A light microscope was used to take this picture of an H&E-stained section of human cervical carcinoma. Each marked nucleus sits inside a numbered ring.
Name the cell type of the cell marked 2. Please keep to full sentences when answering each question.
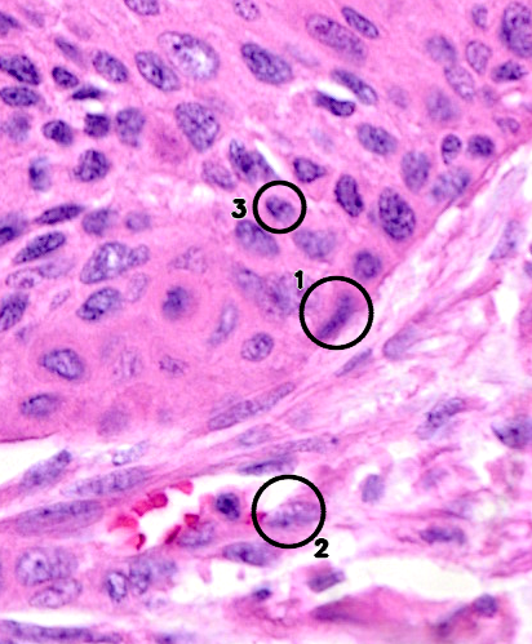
Among the marked cells, number 2 is an endothelial cell.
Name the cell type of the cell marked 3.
Denoted by the label 3 in the section is a squamous carcinoma cell.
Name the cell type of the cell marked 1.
The one labeled 1 is a squamous carcinoma cell, to put it simply.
